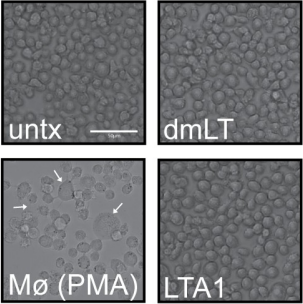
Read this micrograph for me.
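Cultured cells in four unstained brightfield fields. In the lower left field the cells are sparse, and several are large, flattened and spread, with irregular outlines; arrows mark these. Smaller rounded cells lie scattered between them.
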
